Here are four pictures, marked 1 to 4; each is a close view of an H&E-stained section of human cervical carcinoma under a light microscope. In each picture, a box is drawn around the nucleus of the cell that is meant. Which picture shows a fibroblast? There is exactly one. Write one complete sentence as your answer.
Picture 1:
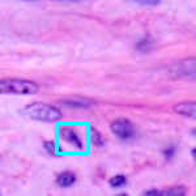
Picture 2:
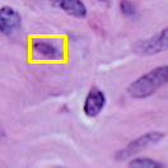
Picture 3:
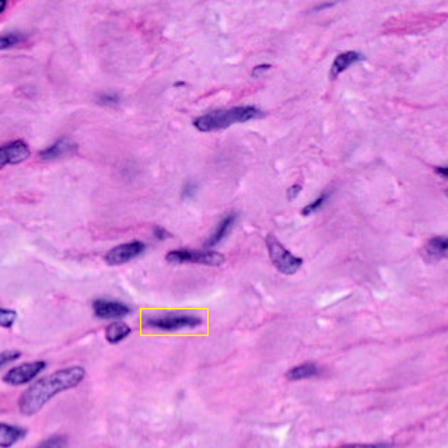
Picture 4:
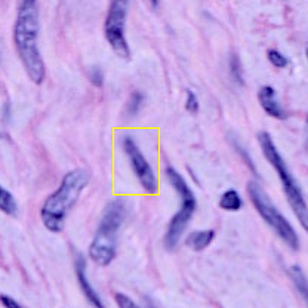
The picture with the fibroblast is 3.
